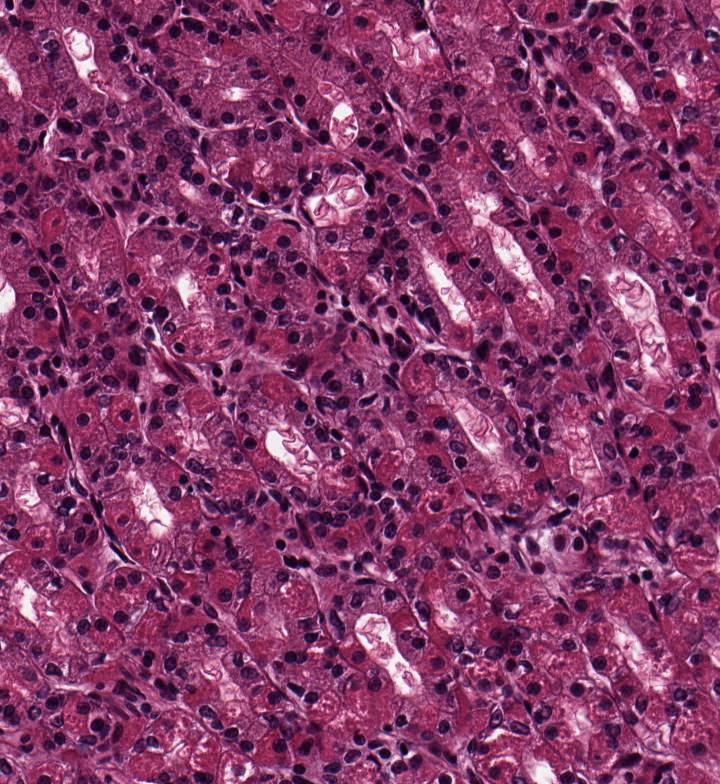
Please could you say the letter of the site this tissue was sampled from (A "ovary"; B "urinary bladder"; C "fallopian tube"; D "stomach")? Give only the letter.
D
